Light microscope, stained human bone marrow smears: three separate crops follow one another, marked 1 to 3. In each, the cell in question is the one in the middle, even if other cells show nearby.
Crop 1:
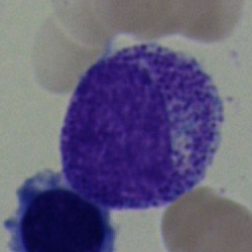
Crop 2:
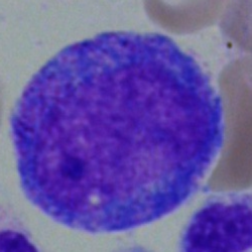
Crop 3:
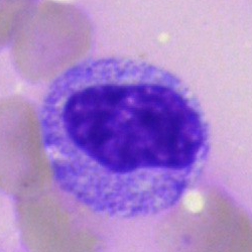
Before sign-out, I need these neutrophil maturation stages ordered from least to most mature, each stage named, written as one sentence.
The crops, ordered from least to most mature, are crop 2 (a promyelocyte), crop 1 (a myelocyte) and crop 3 (a metamyelocyte).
